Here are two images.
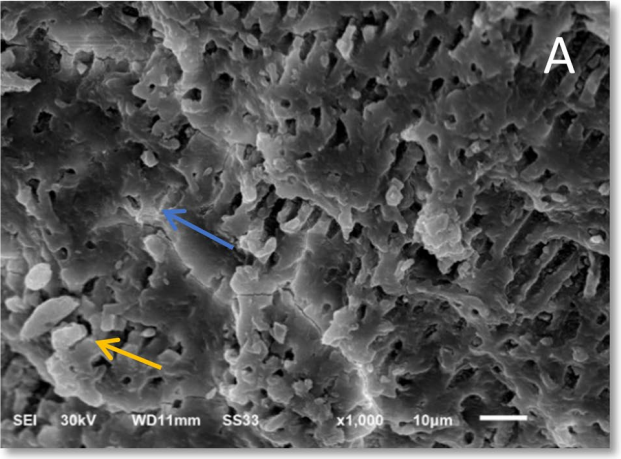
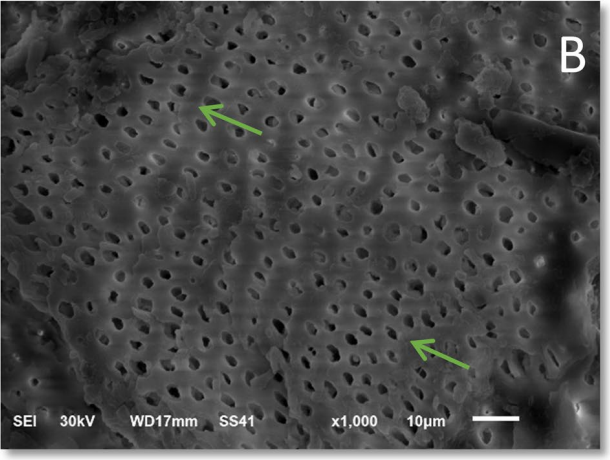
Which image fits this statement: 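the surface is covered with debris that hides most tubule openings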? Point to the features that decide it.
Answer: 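Second image: a smooth clean surface with many open round openings. First image: a rough, irregular debris-covered surface with few clear openings. The answer: the first image.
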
